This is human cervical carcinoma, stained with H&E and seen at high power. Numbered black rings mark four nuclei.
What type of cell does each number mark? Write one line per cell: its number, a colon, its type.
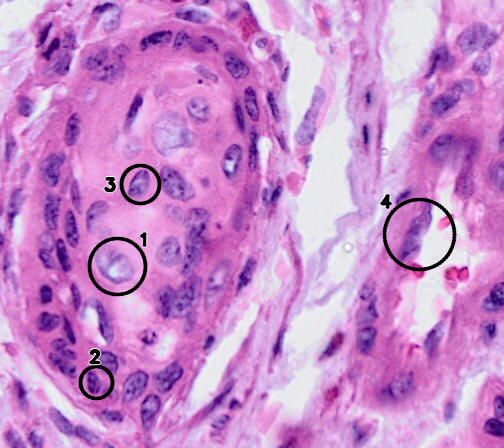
1: squamous carcinoma cell
2: squamous carcinoma cell
3: squamous carcinoma cell
4: endothelial cell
